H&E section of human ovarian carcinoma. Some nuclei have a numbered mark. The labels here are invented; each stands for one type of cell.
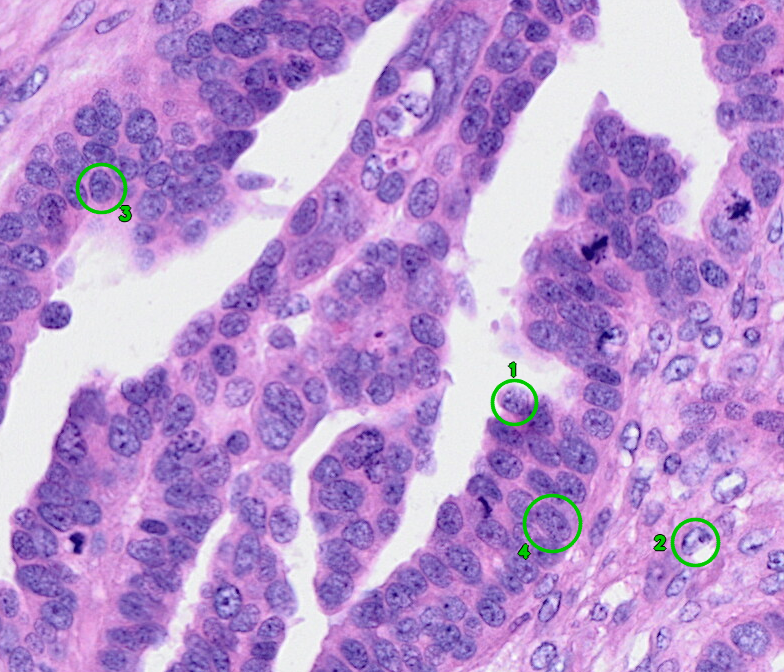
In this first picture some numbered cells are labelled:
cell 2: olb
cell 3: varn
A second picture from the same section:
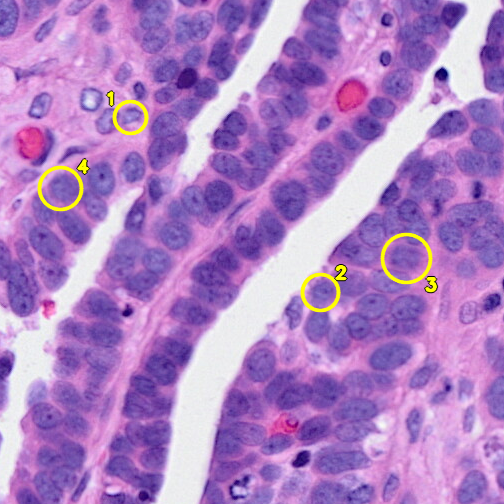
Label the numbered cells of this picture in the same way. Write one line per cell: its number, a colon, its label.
1: olb
2: varn
3: varn
4: varn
